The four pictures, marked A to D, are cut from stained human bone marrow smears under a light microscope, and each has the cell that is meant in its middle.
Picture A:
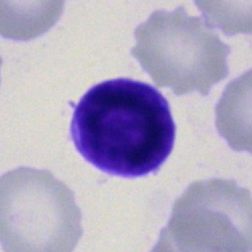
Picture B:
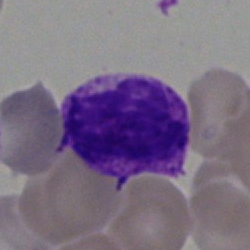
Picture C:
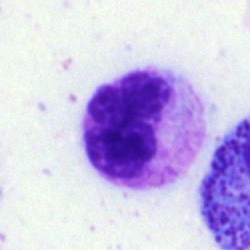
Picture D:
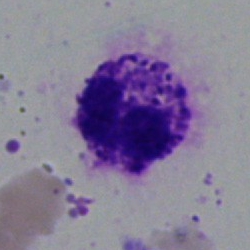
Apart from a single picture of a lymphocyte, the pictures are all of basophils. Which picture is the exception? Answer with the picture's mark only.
A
